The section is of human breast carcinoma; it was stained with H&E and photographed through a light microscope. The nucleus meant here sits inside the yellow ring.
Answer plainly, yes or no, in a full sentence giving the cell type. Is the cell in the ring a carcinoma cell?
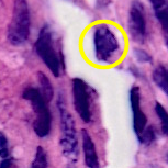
Yes, it is the case that the cell in the ring is a carcinoma cell.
